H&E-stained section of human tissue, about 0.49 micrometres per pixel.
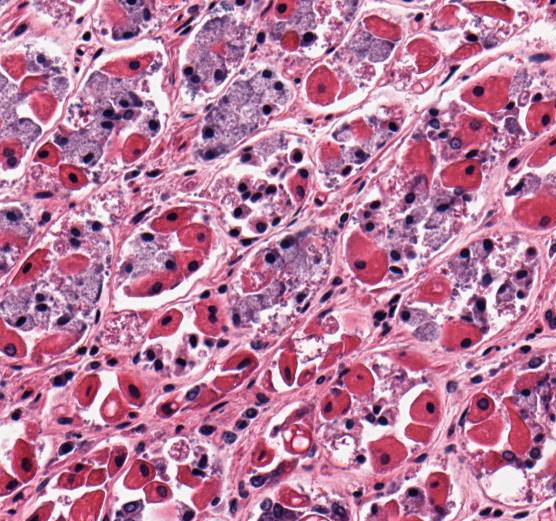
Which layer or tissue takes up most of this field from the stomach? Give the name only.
fundic glands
